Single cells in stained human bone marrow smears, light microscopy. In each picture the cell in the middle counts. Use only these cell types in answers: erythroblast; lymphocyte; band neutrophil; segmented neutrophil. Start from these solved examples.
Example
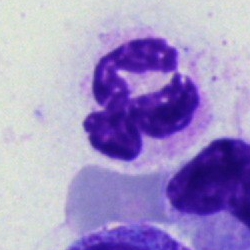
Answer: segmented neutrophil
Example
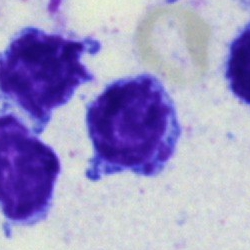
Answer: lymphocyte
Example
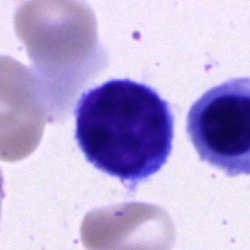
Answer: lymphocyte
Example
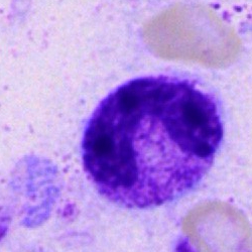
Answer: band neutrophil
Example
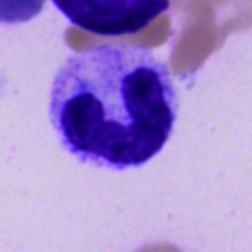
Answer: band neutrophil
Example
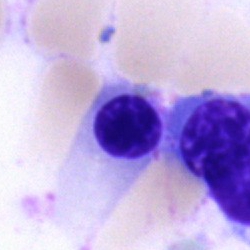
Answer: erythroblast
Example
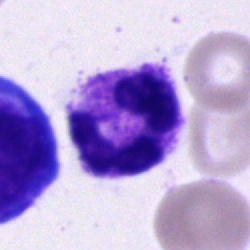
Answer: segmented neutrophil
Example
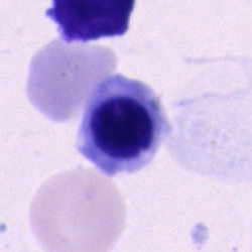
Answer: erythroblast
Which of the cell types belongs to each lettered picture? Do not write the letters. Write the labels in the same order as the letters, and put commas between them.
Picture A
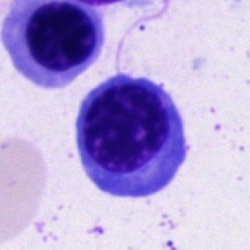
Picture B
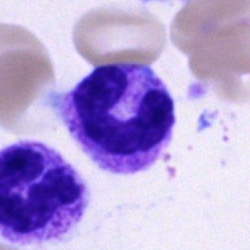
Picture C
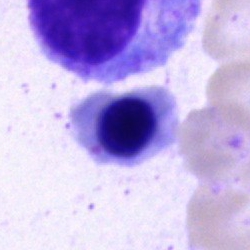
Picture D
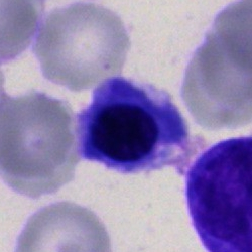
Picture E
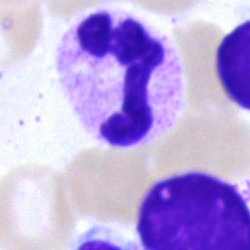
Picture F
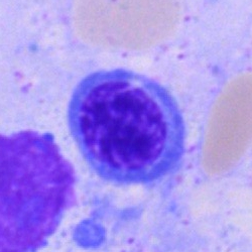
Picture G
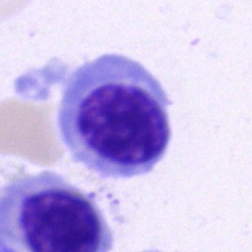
erythroblast, band neutrophil, erythroblast, erythroblast, segmented neutrophil, erythroblast, erythroblast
